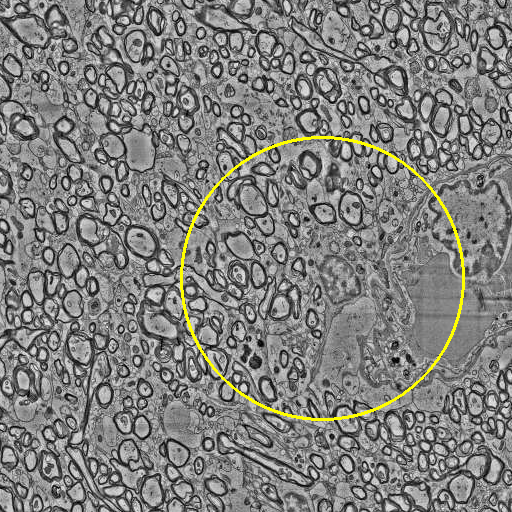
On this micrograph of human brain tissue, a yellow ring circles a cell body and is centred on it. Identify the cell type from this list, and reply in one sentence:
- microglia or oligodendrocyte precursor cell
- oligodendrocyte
The cell at the centre is an oligodendrocyte.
